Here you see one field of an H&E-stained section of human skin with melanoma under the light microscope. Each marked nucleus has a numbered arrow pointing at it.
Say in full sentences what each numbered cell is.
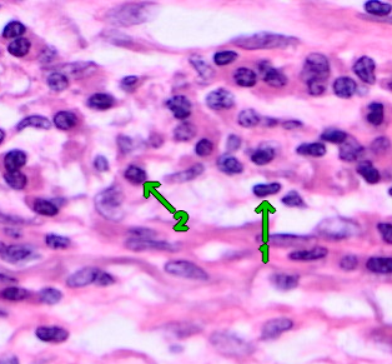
Cell 1 is a lymphocyte. Cell 2 is a plasma cell.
